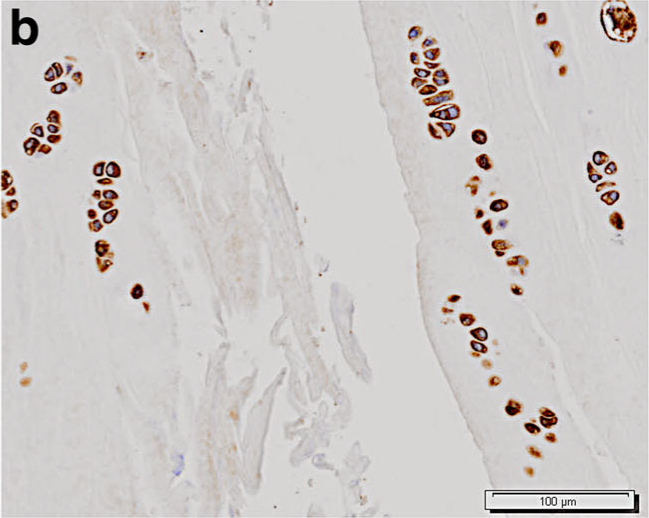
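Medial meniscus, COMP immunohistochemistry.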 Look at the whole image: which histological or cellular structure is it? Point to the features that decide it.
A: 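Several rounded cells sit tightly packed together in groups. Groups are aligned in rows along the fibre direction of the matrix.
Conclusion: Cell clusters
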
